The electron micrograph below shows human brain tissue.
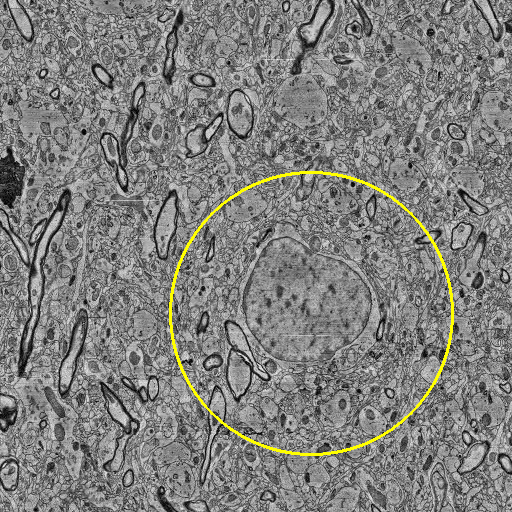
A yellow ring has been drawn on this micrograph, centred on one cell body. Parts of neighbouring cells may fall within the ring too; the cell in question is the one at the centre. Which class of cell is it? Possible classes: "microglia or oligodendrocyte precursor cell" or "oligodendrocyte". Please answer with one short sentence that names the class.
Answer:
In the centre of the ring sits a microglial cell or oligodendrocyte precursor cell.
